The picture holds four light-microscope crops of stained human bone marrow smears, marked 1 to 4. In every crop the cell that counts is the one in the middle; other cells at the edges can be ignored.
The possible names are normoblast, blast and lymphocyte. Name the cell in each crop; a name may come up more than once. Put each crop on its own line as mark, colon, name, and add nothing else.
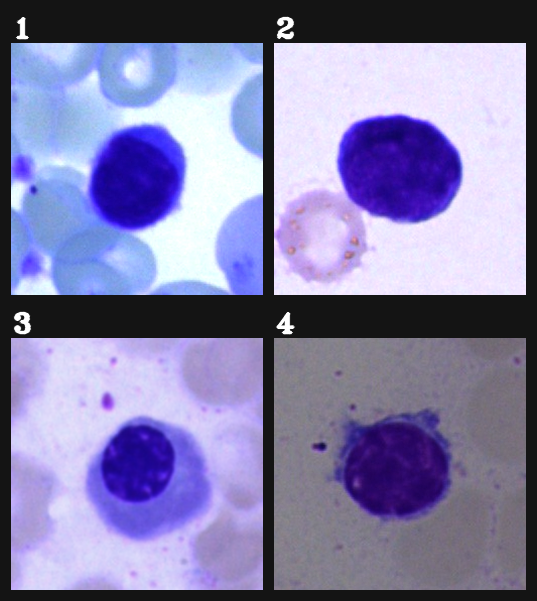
1: lymphocyte
2: blast
3: normoblast
4: lymphocyte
